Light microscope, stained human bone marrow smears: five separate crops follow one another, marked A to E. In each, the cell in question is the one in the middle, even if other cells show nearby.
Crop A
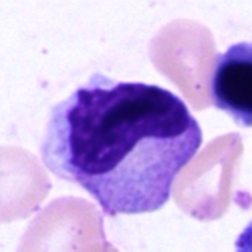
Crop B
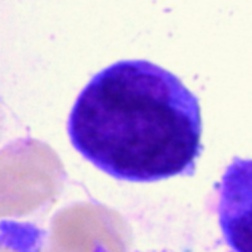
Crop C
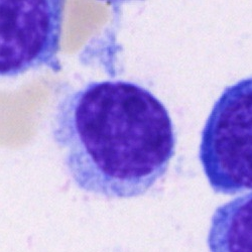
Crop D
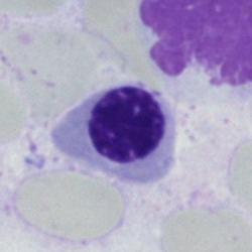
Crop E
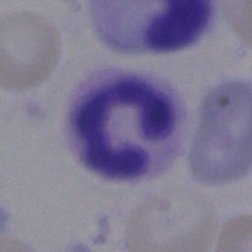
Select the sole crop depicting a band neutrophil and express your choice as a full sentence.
The one showing a band neutrophil is the crop labelled A.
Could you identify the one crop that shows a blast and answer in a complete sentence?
Among the crops provided, a blast occupies the center of crop B.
